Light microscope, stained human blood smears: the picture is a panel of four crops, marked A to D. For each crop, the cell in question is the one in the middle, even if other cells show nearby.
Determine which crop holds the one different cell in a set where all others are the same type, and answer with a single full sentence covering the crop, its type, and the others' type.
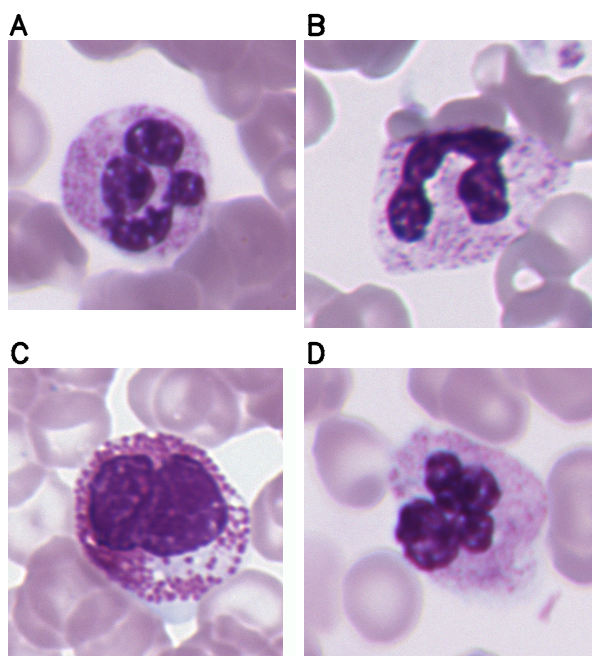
All the crops show segmented neutrophils except crop C, which shows an eosinophil.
